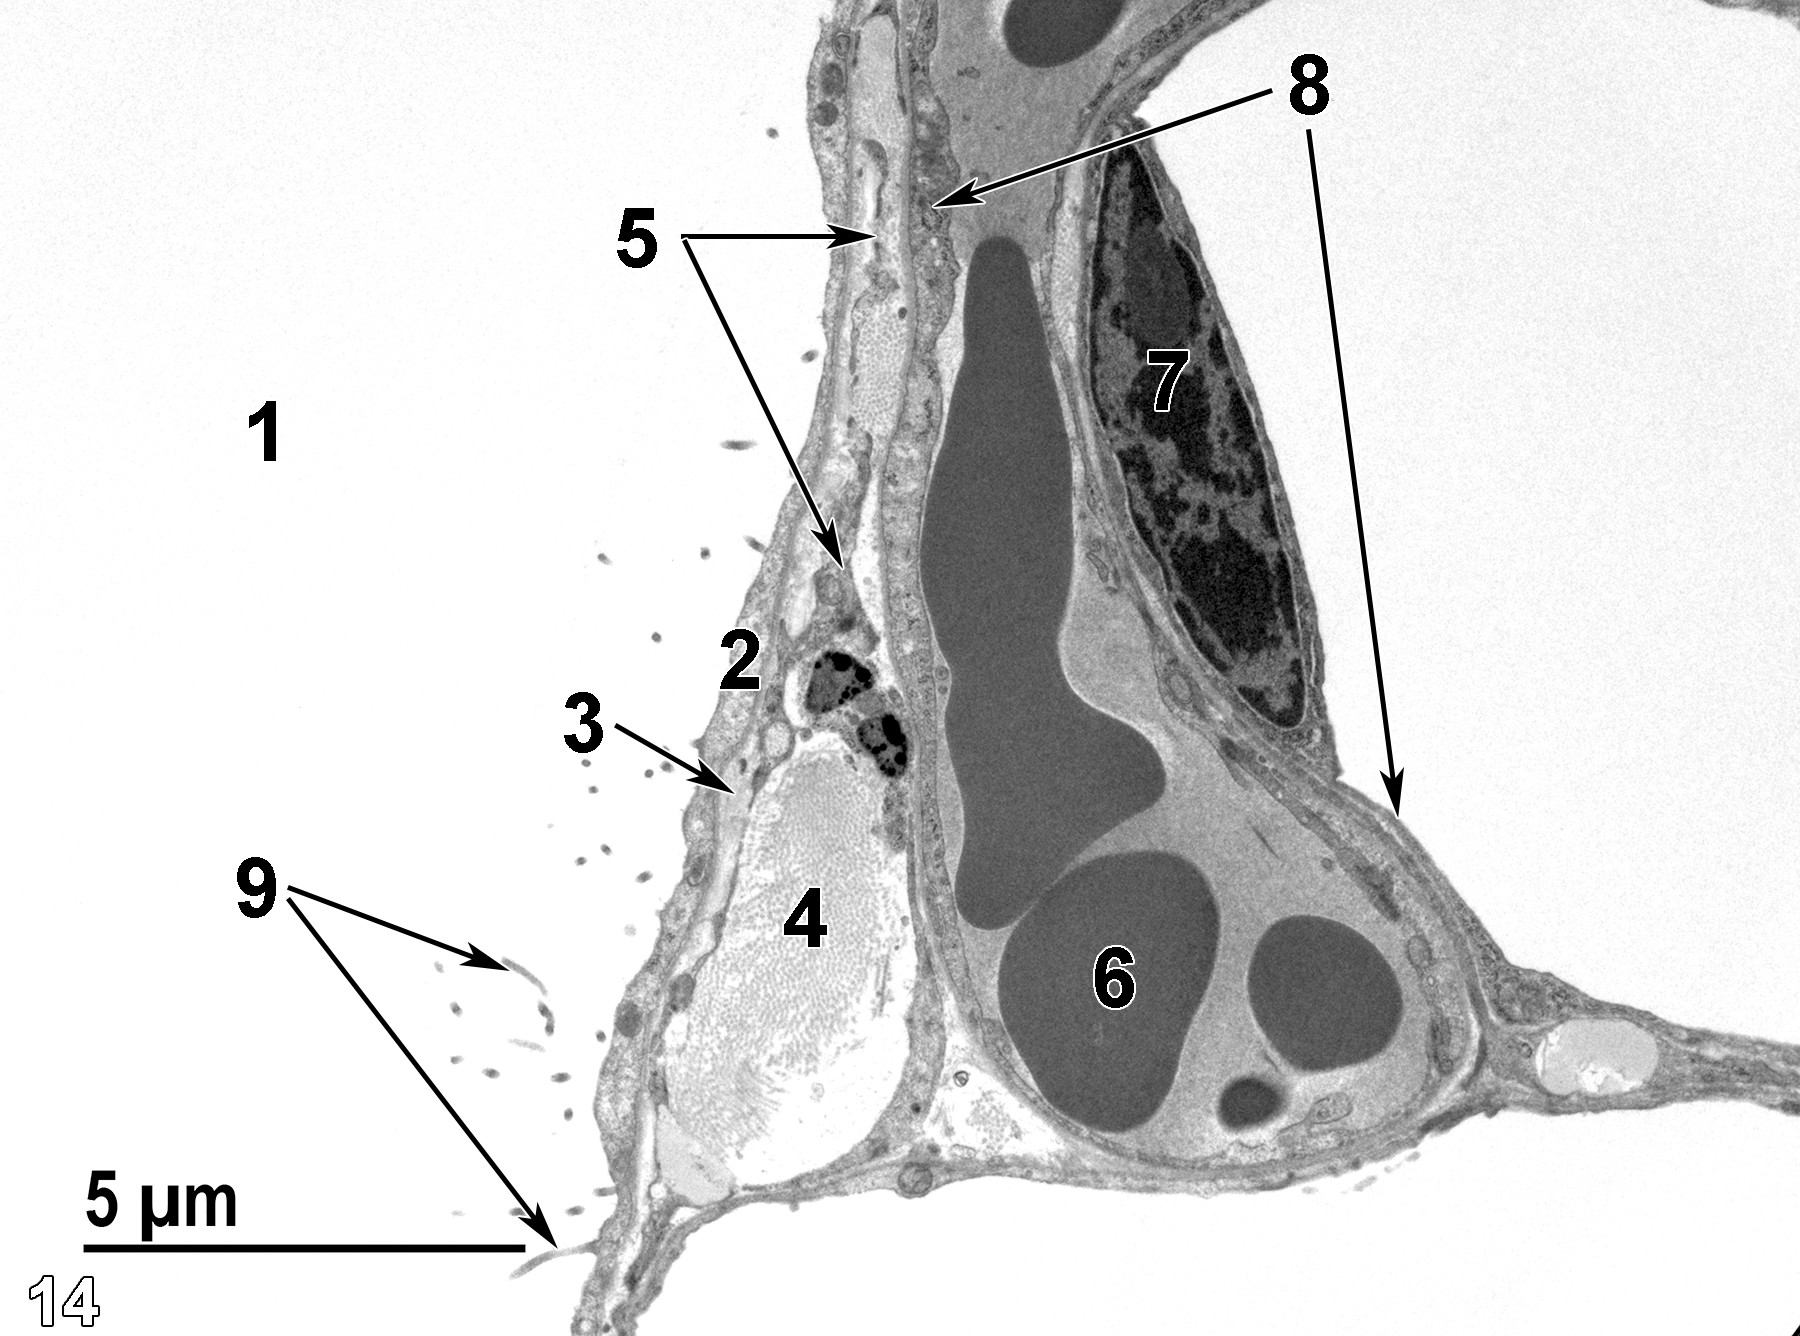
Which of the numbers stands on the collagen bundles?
Number 4.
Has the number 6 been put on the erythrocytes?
Yes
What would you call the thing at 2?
Pleural mesothelial cell layer.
